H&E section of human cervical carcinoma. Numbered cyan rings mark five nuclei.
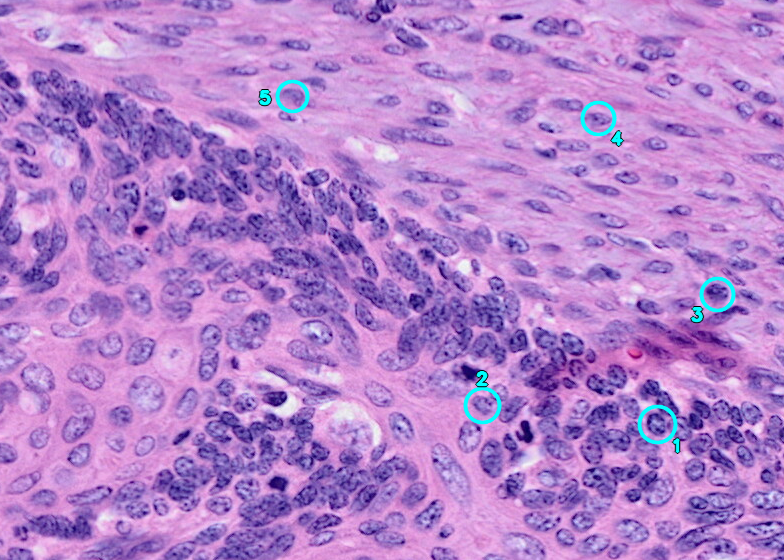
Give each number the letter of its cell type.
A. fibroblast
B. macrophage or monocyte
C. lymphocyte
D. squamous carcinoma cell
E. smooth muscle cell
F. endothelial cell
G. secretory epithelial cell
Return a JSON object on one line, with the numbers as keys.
{"1": "D", "2": "D", "3": "C", "4": "E", "5": "E"}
